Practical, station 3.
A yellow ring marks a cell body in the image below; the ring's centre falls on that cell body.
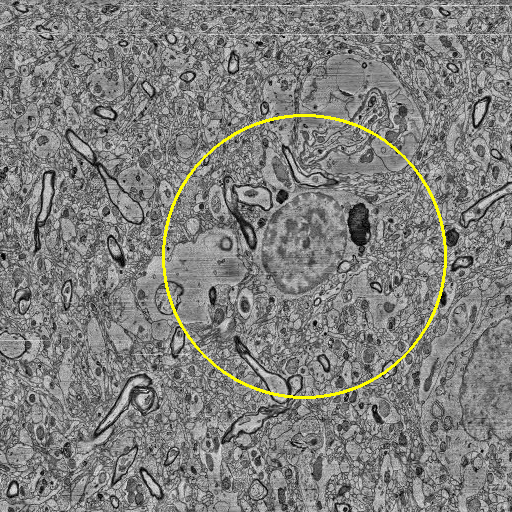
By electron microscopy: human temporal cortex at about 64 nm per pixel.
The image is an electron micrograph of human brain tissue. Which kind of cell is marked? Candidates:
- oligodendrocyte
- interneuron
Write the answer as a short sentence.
The marked cell body is that of an oligodendrocyte.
